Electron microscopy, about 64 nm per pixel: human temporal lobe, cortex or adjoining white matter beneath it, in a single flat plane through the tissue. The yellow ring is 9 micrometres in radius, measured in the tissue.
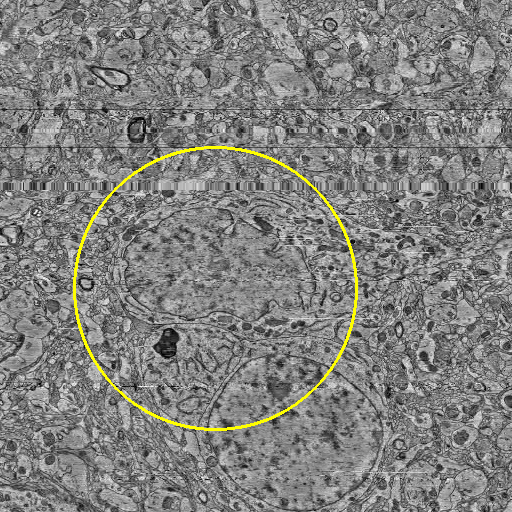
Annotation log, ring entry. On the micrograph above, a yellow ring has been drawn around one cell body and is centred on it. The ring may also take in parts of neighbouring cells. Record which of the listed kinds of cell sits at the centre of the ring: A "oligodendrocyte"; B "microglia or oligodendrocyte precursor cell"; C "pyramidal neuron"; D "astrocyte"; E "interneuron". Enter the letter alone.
E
